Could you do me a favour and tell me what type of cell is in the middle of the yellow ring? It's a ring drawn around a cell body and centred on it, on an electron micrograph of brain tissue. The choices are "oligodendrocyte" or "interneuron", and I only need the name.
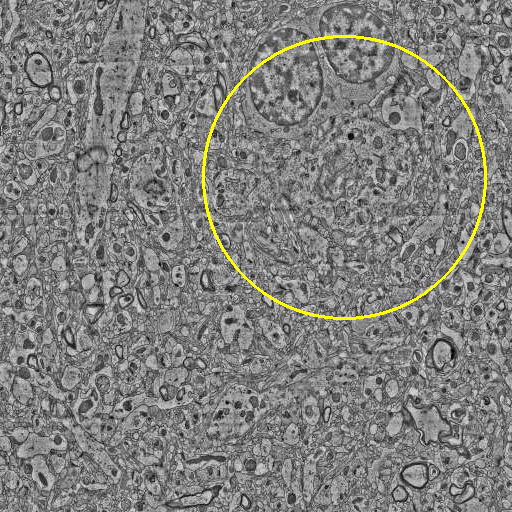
interneuron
